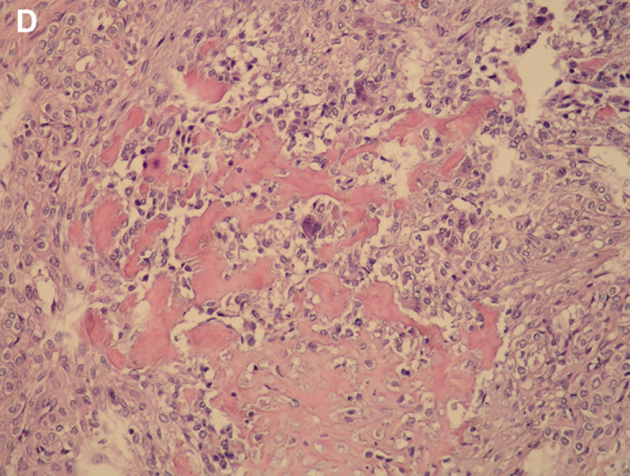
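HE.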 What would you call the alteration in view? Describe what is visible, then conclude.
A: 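Densely cellular tumor of pleomorphic cells with dark nuclei. Pink, glassy matrix lies among the tumor cells. So: osteosarcoma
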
